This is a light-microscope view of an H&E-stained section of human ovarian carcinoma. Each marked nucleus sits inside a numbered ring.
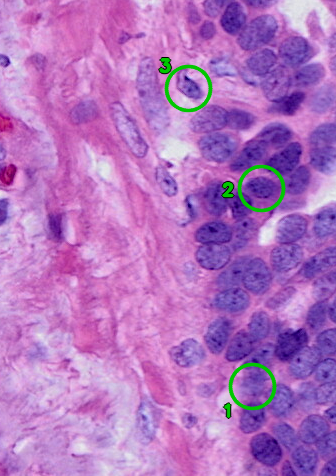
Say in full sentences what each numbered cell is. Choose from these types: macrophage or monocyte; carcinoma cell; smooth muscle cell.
Cell 1 is a carcinoma cell, cell 2 is a carcinoma cell and cell 3 is a macrophage or monocyte.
